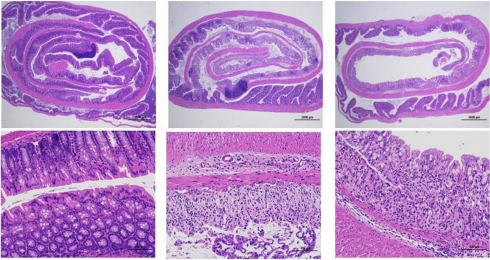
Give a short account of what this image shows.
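In the left column the mucosa consists of regular, closely packed tubular crypts lined by columnar epithelium with many pale goblet cells, resting on a thin muscular wall. In the middle column the regular crypt pattern is largely lost over parts of the mucosa. There the tissue is filled with densely packed small dark nuclei, and the epithelial lining and goblet cells are largely absent. In the right column crypts are partly preserved but appear irregular, with some dense cellular areas between them.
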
